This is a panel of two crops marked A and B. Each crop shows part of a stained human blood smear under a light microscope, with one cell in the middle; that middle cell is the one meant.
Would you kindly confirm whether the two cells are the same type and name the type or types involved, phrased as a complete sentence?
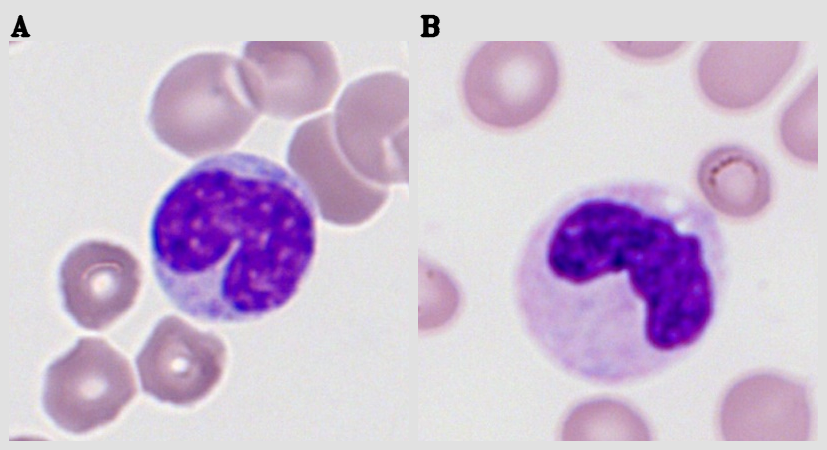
No, crop A and crop B contain, respectively, a monocyte and a band neutrophil.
